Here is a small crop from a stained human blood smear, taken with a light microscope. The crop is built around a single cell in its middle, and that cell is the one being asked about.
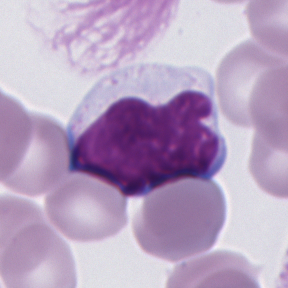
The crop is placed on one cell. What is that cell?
large granular lymphocyte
